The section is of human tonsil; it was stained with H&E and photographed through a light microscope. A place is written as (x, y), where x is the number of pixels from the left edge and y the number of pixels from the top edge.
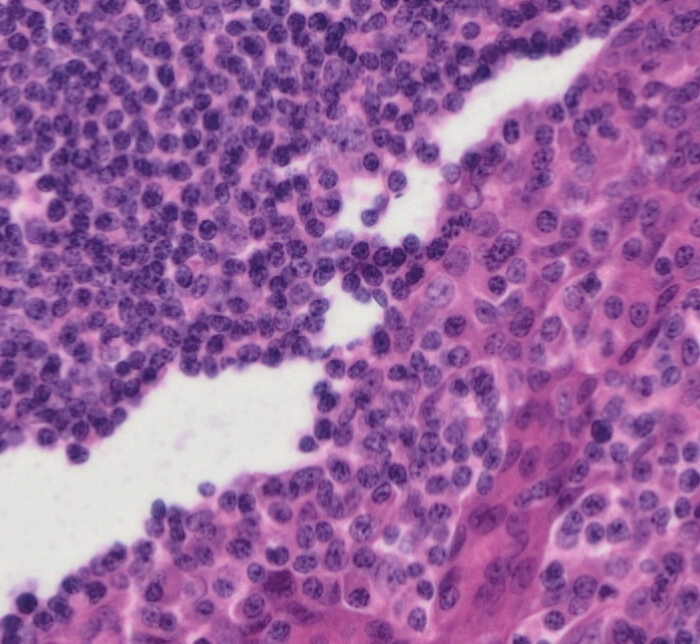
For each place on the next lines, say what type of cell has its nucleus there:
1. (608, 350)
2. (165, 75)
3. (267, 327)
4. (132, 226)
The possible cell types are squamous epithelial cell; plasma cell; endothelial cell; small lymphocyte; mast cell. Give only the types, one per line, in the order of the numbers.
plasma cell
small lymphocyte
small lymphocyte
small lymphocyte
